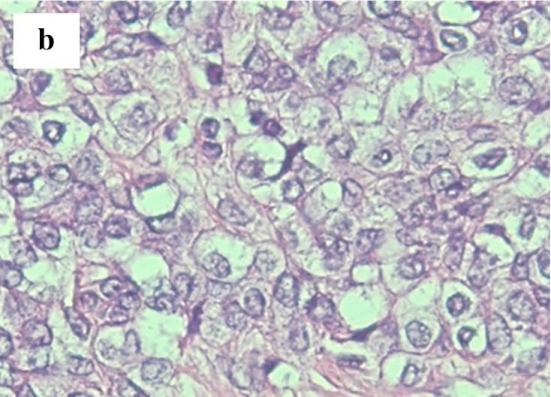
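Here the tumor is made of clear cells with atypical nuclei. Each cell is polygonal and bounded by a thin pink membrane, and its cytoplasm looks pale and almost empty, giving the field a bubbly, clear appearance. The nuclei are large and unequal: some are round with visible nucleoli, others irregular, wrinkled or deeply dark, and several lie pushed to one side of the cell. The cells are packed side by side without glands, separated only by the fine pink borders.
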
